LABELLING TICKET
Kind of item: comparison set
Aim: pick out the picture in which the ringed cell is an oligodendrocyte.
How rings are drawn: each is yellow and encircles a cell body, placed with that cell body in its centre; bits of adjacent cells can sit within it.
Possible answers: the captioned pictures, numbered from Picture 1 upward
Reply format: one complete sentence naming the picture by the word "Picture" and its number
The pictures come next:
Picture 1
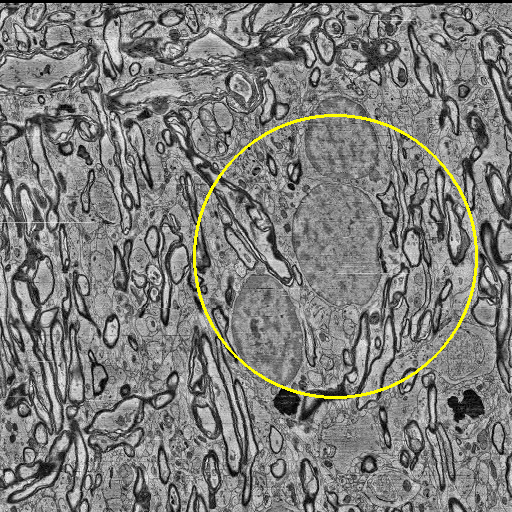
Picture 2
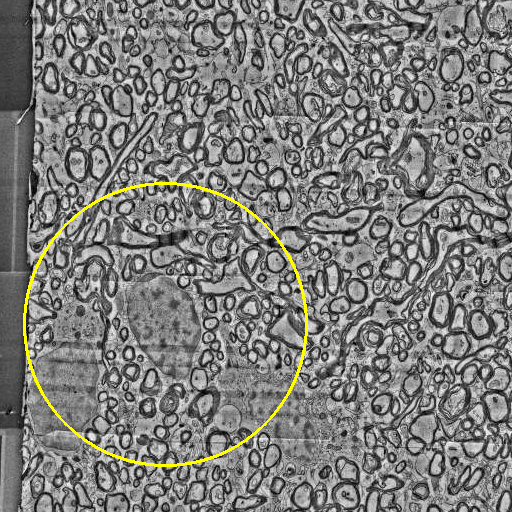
The cell centred inside the yellow ring in Picture 1 is the requested one.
